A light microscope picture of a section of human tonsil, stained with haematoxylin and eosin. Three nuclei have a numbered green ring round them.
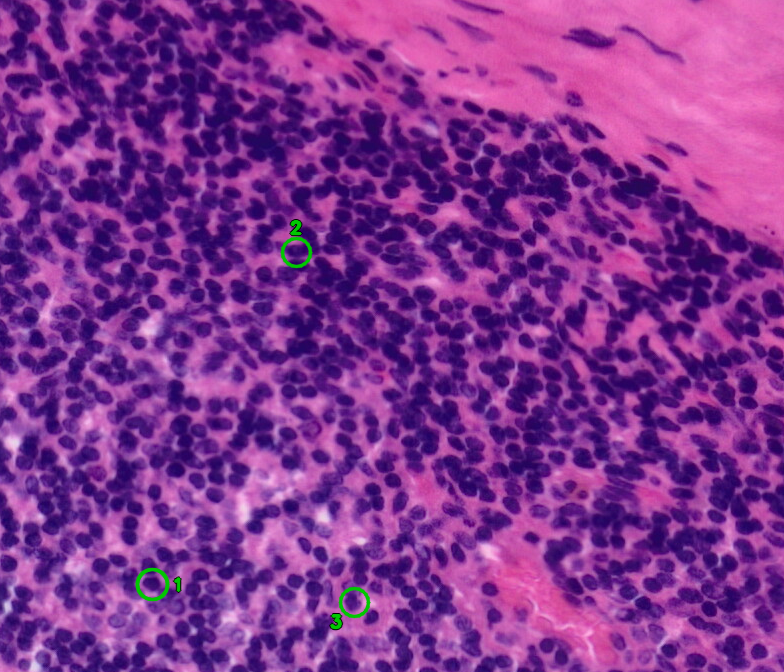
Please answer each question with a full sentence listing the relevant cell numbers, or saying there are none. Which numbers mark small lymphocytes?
The cells that bear the numbers 1 and 2 are small lymphocytes.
